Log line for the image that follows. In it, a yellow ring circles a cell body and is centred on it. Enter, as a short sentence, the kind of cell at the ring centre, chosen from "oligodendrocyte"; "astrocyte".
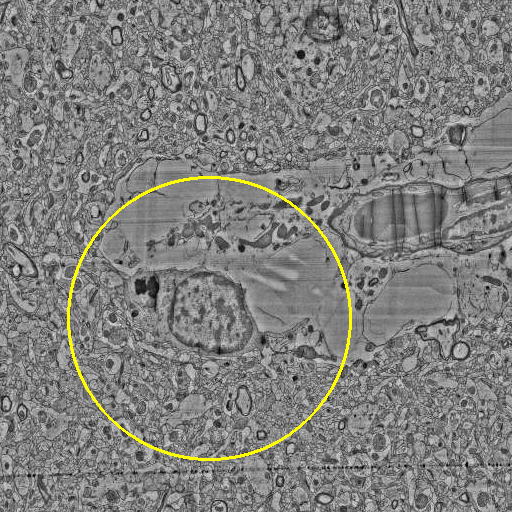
The ring centre is occupied by an oligodendrocyte.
